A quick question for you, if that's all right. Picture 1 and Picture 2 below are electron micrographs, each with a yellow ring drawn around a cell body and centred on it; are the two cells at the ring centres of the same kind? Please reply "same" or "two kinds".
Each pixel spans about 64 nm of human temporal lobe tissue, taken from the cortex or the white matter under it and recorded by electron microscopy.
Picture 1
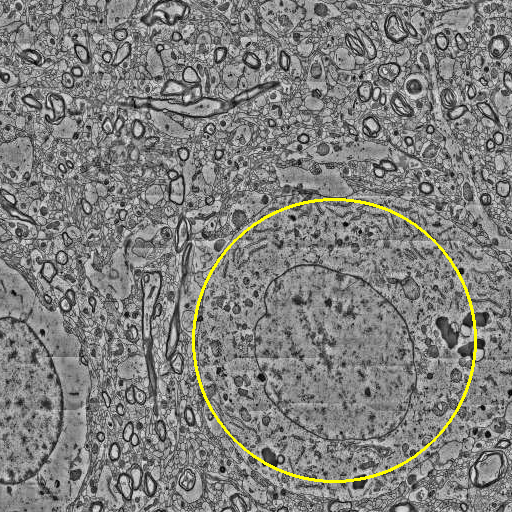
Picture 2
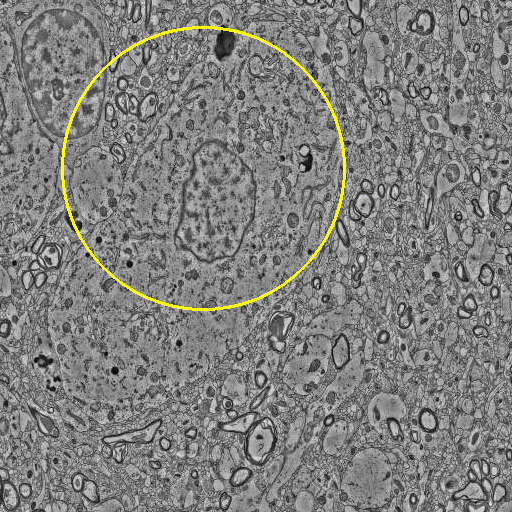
two kinds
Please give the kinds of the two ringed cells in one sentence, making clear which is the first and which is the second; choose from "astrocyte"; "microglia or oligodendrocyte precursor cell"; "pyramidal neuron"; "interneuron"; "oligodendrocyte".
In the second picture the ringed cell is an oligodendrocyte; in the first it is a pyramidal neuron.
